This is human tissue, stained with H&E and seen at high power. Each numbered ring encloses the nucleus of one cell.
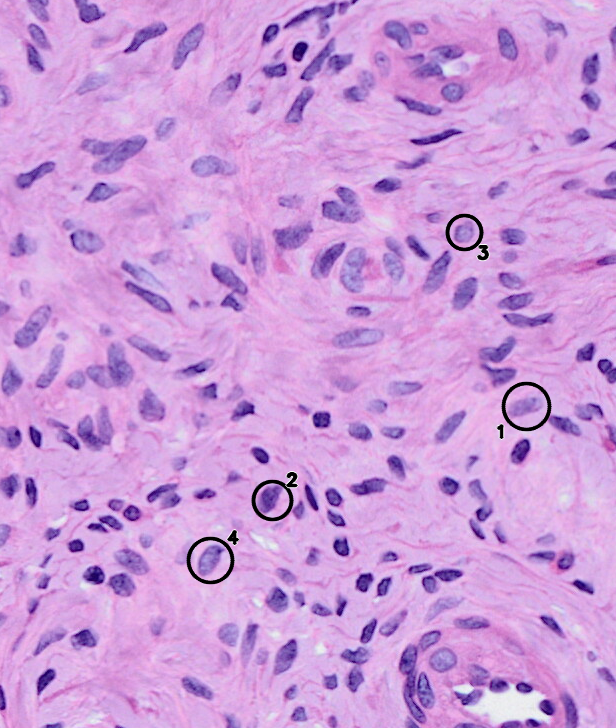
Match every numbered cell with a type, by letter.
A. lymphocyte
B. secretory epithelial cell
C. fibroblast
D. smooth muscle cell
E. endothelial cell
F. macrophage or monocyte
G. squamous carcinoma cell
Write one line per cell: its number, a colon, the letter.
1: C
2: C
3: D
4: C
